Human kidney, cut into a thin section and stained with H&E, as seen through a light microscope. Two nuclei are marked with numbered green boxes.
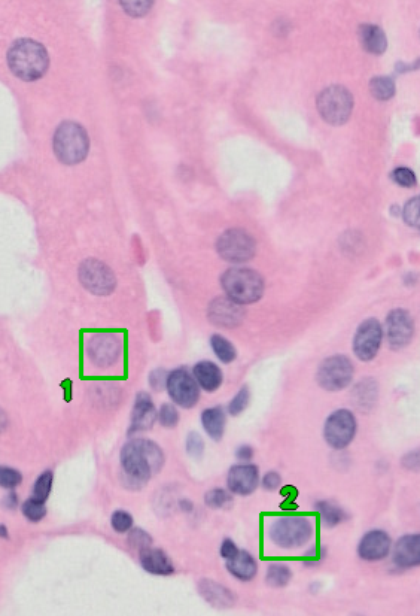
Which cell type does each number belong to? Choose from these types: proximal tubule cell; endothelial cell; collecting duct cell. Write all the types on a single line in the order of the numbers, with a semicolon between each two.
proximal tubule cell; collecting duct cell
